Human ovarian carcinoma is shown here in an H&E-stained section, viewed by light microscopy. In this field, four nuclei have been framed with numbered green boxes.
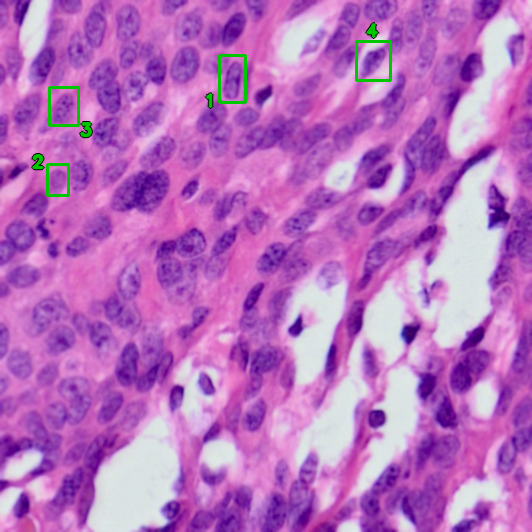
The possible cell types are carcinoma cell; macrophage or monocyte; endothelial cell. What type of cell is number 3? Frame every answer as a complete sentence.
The correct answer for cell 3 is a carcinoma cell.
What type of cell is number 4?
The cell whose nucleus carries the number 4 is a carcinoma cell.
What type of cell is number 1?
The cell referred to as 1 is a macrophage or monocyte.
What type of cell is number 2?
Cell 2 in the field is a carcinoma cell.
